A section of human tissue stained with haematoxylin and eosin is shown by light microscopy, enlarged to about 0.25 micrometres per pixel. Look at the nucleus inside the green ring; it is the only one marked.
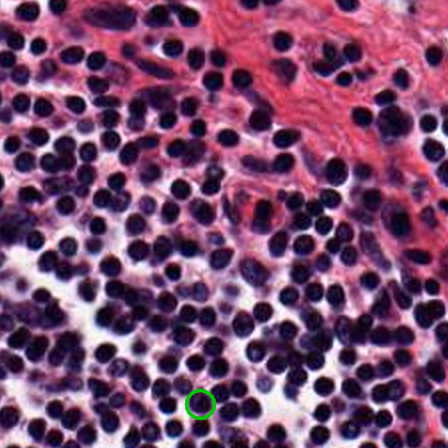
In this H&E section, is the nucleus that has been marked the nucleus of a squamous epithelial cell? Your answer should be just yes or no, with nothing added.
no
